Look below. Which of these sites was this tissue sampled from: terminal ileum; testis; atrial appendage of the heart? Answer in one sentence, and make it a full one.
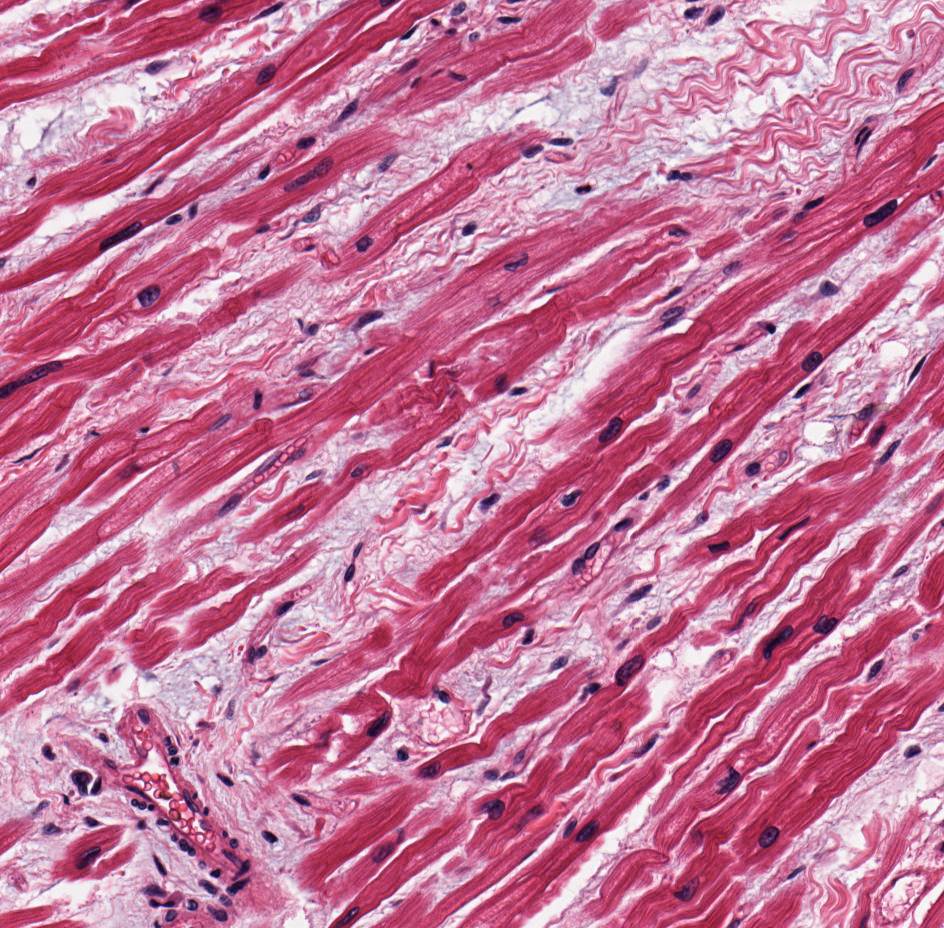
Sampling of this tissue was done from the atrial appendage of the heart.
